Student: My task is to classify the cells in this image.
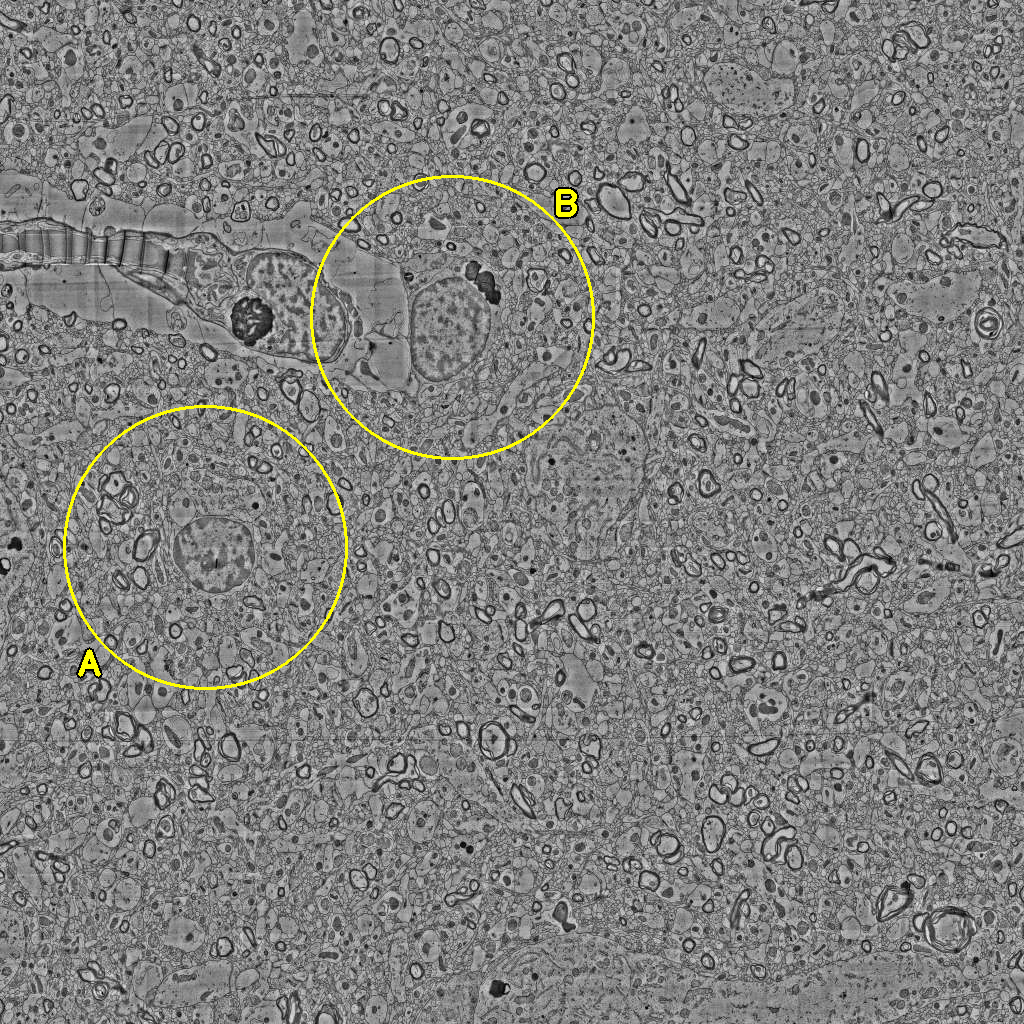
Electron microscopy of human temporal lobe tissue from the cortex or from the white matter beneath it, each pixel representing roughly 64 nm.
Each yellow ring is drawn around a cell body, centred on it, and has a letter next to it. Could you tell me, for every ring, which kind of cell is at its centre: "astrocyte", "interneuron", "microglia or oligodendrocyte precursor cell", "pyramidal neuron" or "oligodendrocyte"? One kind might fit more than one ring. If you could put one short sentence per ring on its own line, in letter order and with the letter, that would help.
Ring A's central cell is a microglial cell or oligodendrocyte precursor cell.
Ring B's central cell is an oligodendrocyte.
